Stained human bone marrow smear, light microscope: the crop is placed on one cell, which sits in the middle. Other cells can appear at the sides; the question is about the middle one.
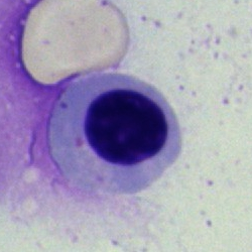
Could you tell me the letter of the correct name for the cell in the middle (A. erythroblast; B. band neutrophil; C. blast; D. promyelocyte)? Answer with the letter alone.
A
